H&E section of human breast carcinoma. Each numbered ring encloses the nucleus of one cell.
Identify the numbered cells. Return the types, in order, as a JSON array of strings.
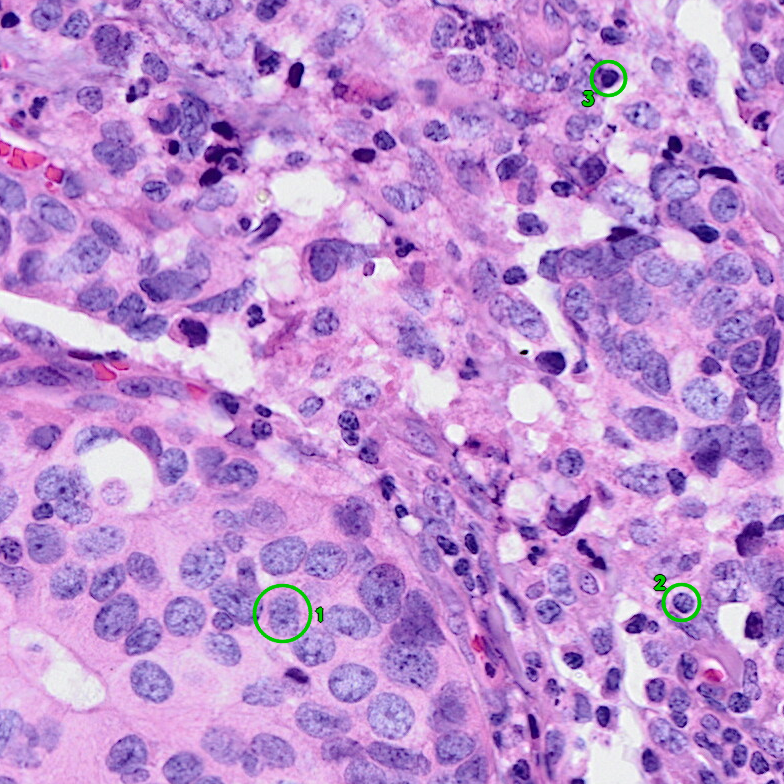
["carcinoma cell", "lymphocyte", "lymphocyte"]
